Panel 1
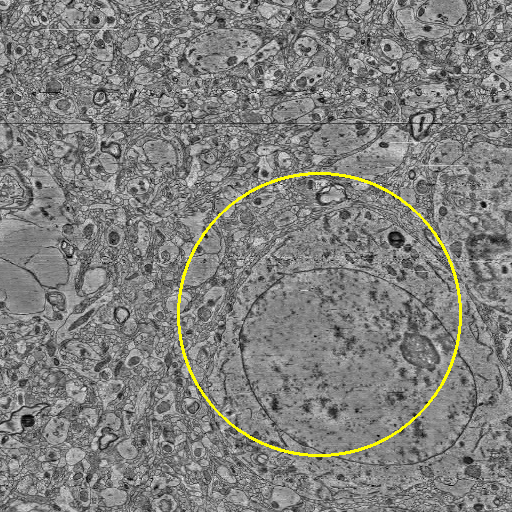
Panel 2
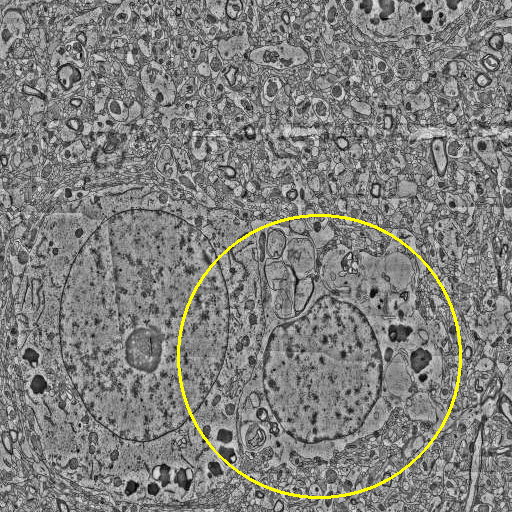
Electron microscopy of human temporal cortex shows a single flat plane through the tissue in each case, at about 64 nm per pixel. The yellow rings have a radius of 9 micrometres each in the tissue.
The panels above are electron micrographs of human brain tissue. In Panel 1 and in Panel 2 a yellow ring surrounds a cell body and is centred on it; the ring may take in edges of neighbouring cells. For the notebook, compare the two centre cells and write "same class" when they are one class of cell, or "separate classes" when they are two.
separate classes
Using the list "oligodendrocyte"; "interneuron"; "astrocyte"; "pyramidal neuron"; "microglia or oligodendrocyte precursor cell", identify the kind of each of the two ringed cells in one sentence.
The first is a pyramidal neuron and the second is an astrocyte.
